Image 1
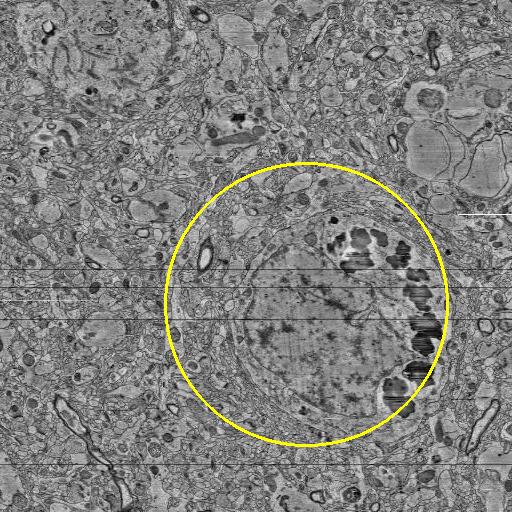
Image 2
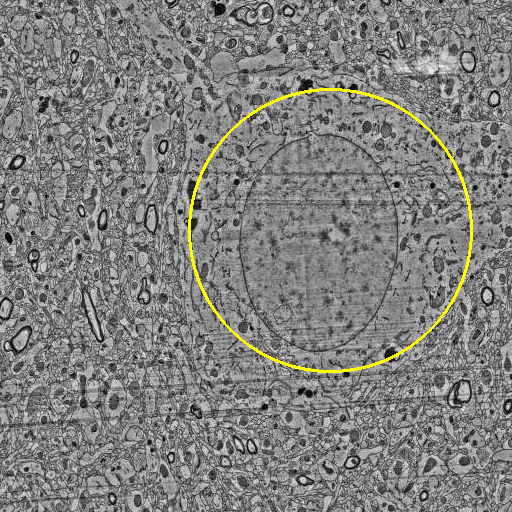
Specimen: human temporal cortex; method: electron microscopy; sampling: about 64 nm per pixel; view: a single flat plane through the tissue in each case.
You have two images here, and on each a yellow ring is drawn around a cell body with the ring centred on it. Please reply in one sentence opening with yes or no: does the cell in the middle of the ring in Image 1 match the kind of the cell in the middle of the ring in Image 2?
No, the two images show cells of two kinds at the centres of their rings.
